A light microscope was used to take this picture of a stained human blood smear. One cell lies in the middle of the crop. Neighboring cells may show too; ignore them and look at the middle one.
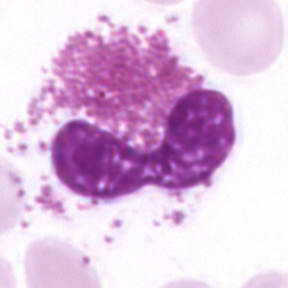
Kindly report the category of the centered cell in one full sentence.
The cell at the heart of this crop is an eosinophil.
